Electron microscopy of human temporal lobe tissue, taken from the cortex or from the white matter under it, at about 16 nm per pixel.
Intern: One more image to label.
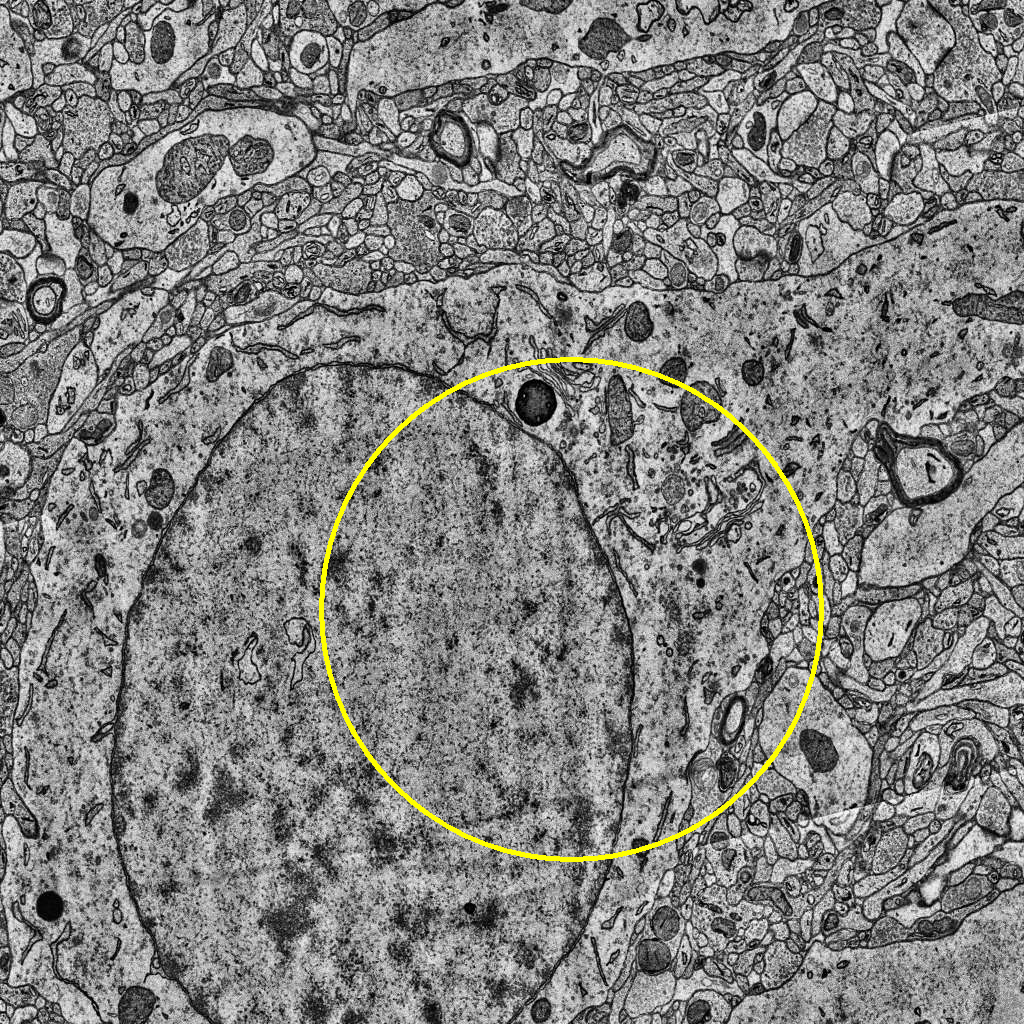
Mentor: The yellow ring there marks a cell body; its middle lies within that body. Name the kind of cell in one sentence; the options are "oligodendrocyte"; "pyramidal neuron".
The ring marks the cell body of a pyramidal neuron.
